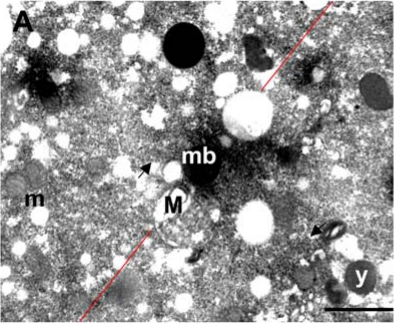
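Cleavage plane between two blastomeres of an early embryo, crossed by a dark, dense midbody. A single larger mitochondrion lies beside the midbody, while smaller egg mitochondria, round electron-dense yolk bodies and many pale vesicles fill the surrounding cytoplasm.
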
